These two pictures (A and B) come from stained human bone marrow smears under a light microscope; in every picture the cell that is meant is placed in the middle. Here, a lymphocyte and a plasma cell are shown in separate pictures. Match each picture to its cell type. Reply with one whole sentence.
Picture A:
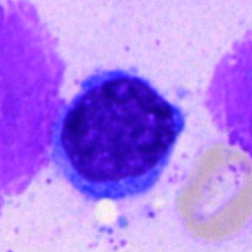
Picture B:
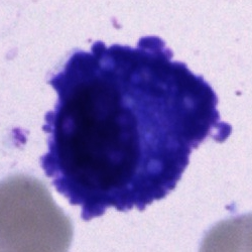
Picture B shows a plasma cell, while picture A shows a lymphocyte.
